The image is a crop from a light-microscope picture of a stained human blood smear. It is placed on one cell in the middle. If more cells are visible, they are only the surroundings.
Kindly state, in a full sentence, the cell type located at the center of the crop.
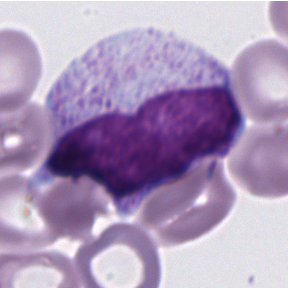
Framed in the middle of the crop is a myelocyte.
